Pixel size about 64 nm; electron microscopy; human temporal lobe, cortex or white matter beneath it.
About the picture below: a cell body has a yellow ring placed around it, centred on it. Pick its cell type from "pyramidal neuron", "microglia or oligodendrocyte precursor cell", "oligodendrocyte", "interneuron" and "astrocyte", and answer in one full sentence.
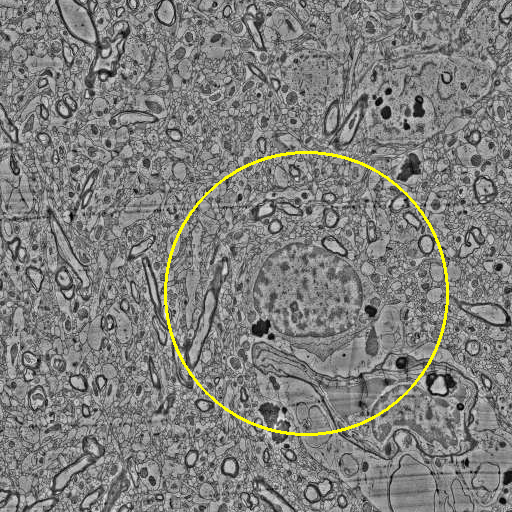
In the picture, an oligodendrocyte is the cell sitting at the centre of the yellow ring.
